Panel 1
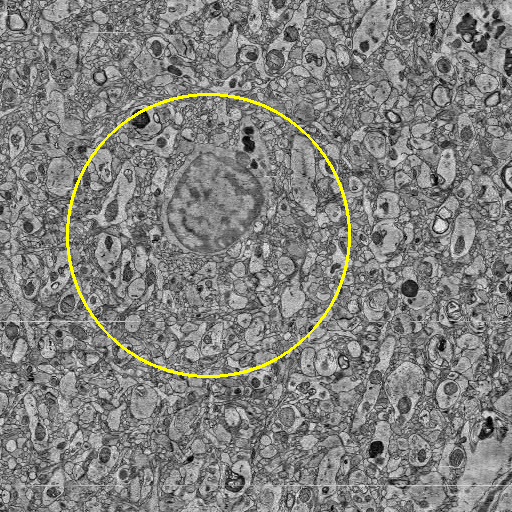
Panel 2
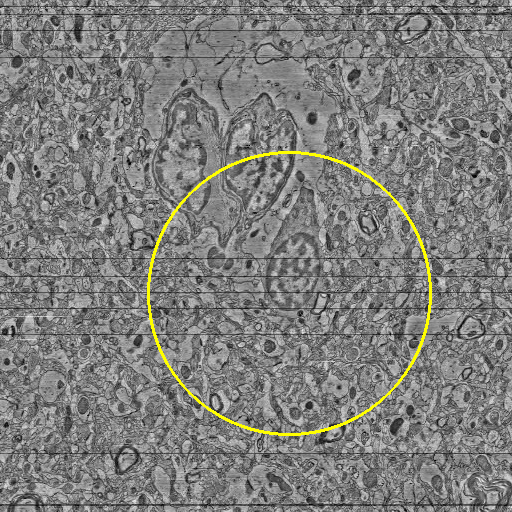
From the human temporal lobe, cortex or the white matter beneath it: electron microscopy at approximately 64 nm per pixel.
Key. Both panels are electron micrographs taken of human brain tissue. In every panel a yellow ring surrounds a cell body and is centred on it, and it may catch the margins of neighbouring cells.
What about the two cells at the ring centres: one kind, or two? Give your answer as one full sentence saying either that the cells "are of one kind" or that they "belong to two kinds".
Across Panels 1 and 2, the two cells at the ring centres are of one kind.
